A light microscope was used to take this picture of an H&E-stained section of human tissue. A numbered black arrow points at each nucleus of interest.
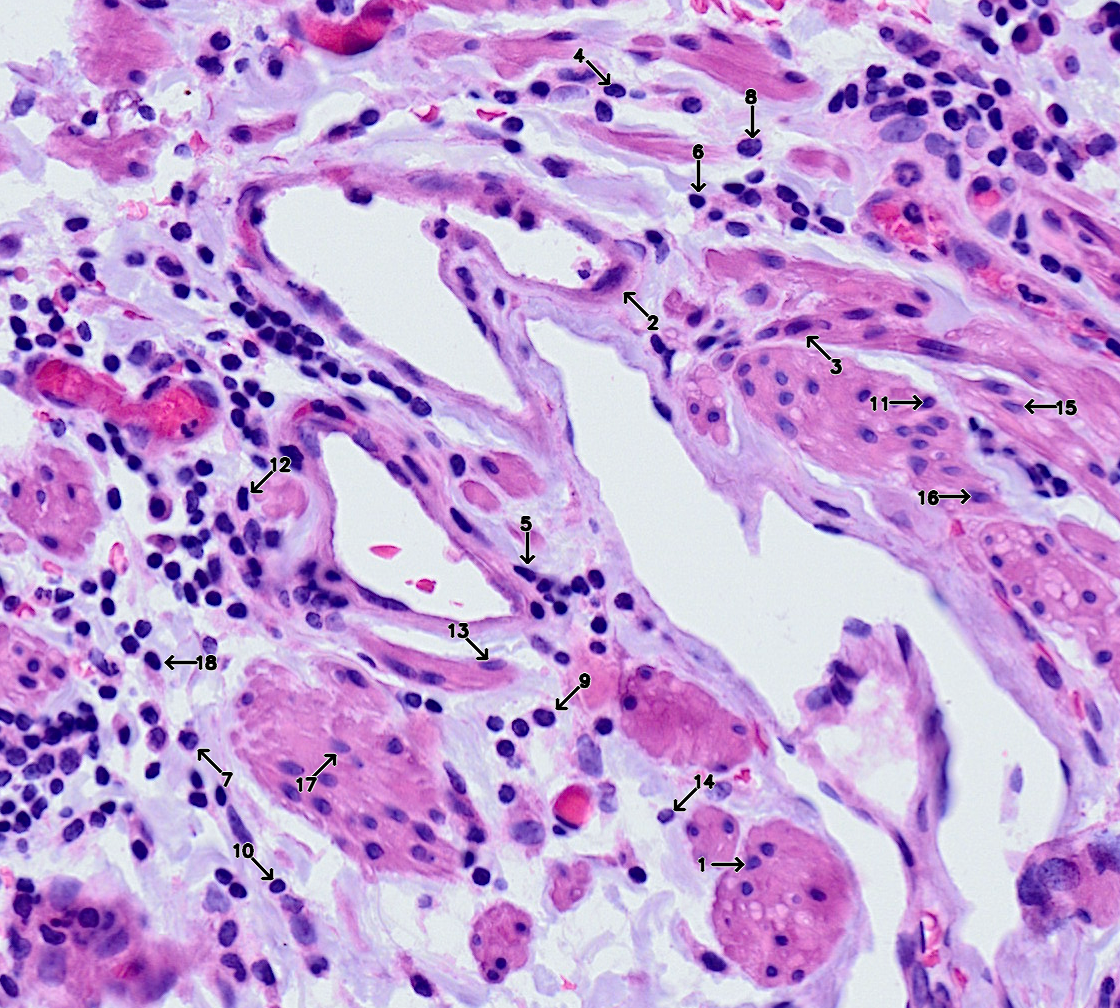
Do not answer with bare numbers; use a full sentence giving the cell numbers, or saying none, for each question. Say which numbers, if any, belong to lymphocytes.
By cell type, the cells numbered 4, 5, 6, 7, 8, 9, 10, 12, 14 and 18 are lymphocytes.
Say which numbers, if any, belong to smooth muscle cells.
In this section, the cells numbered 1, 3, 11, 13, 15, 16 and 17 are smooth muscle cells.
